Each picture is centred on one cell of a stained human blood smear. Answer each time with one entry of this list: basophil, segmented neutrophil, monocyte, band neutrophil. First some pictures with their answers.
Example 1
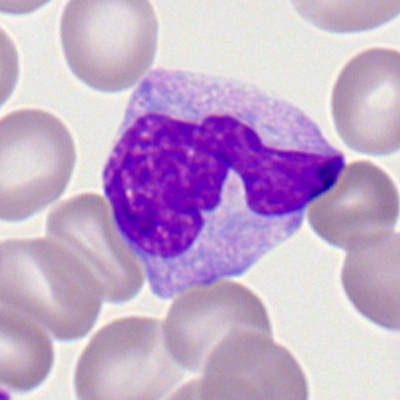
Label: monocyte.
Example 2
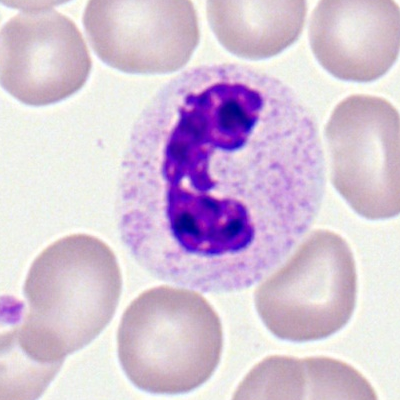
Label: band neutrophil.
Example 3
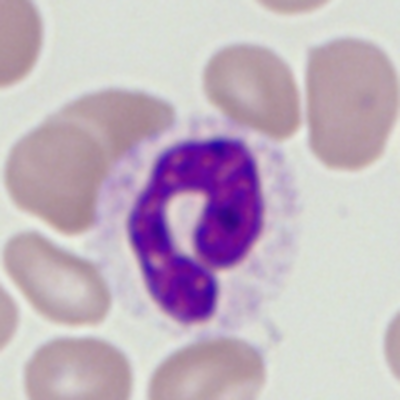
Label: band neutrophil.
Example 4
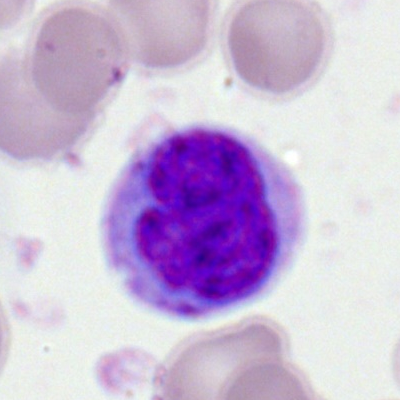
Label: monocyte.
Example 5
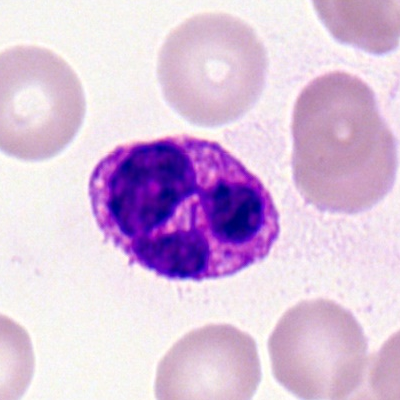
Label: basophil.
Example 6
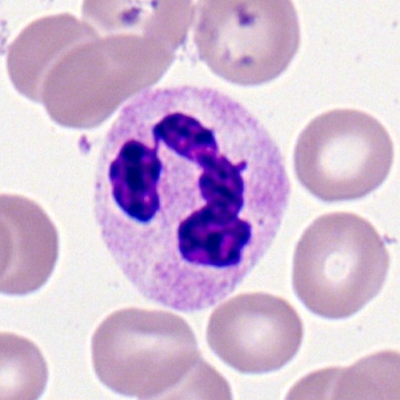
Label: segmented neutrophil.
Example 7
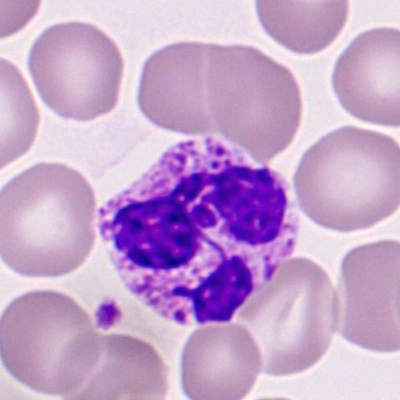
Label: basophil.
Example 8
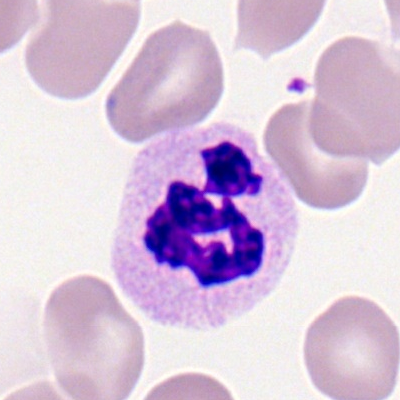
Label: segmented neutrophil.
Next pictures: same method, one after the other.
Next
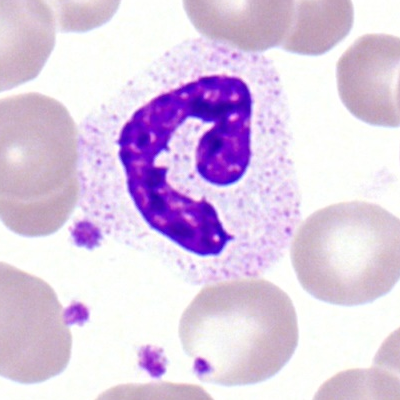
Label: band neutrophil.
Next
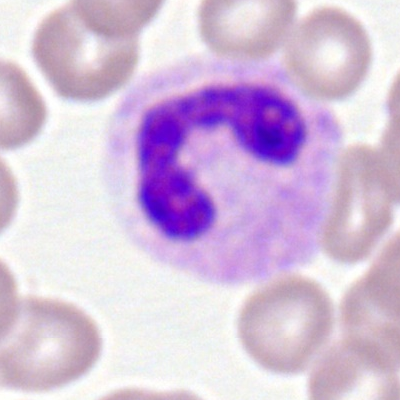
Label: band neutrophil.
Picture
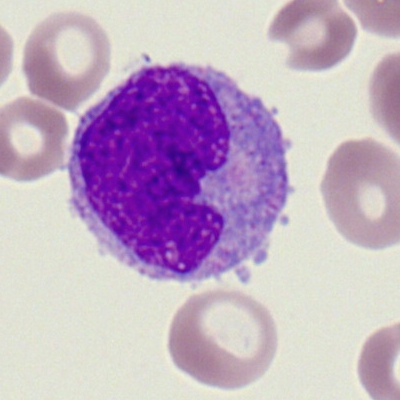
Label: monocyte.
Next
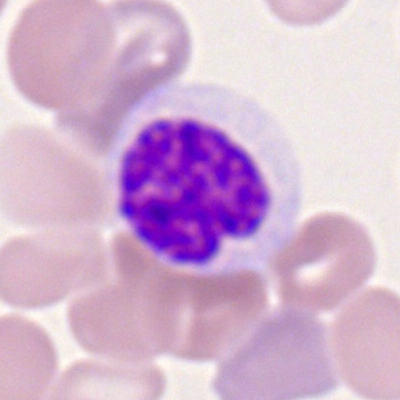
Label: band neutrophil.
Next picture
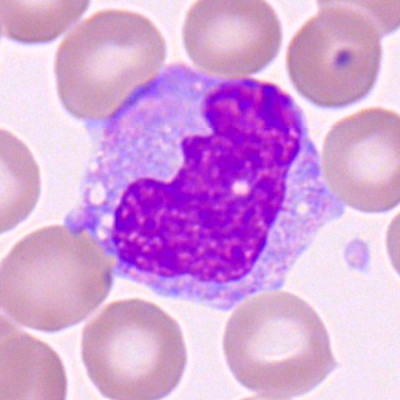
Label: monocyte.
